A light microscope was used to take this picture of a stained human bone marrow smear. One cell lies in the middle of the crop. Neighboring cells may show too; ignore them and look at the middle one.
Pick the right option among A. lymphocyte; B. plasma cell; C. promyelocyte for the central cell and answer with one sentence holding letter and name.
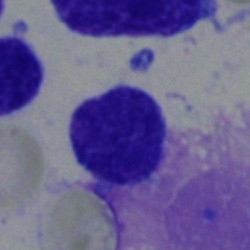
What sits in the middle of the crop is a lymphocyte, and option A is correct.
